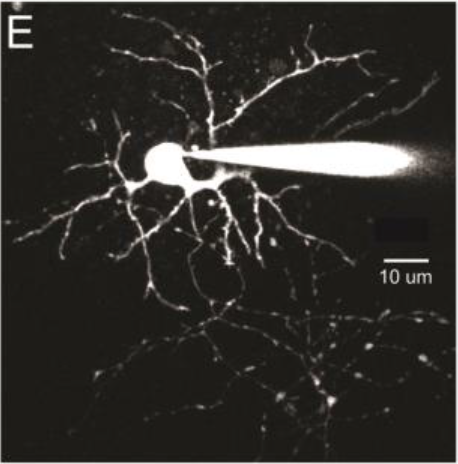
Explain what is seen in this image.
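A single dye-filled neuron appears bright white on a black background, with a round soma near the center and a broad, bright tapered patch pipette entering it from the right. Several thick dendrites radiate from the soma upward, to the left and downward, branching repeatedly into thinner, irregular branches with small swellings along them. Below the soma a fainter network of thin, beaded processes spreads out, dotted with small bright varicosities.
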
